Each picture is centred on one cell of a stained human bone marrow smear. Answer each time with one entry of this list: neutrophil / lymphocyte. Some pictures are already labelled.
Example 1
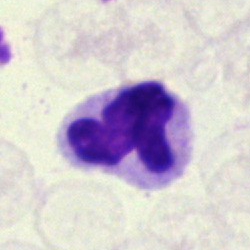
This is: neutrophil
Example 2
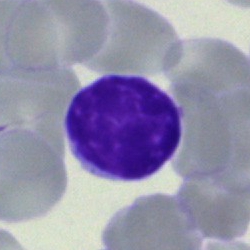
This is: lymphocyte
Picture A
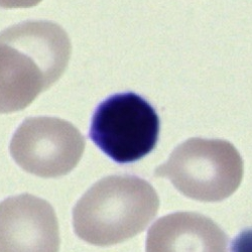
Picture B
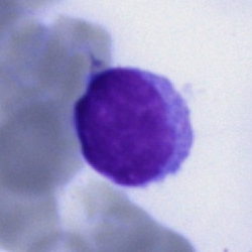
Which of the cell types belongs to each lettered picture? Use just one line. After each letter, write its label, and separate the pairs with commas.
A lymphocyte, B lymphocyte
